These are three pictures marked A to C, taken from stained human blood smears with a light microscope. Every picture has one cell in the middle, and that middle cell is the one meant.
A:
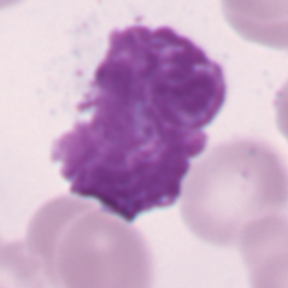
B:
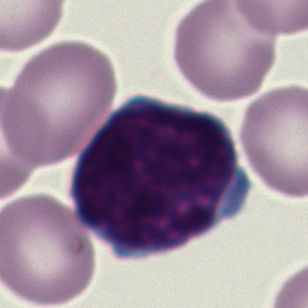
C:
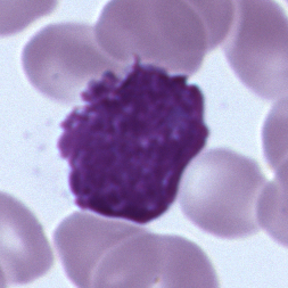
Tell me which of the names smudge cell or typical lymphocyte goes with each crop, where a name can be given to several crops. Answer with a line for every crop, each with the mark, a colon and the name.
A: smudge cell
B: typical lymphocyte
C: smudge cell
